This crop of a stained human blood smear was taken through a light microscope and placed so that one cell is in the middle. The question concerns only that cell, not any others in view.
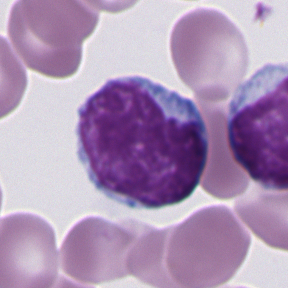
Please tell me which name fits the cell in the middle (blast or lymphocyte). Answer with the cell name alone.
lymphocyte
